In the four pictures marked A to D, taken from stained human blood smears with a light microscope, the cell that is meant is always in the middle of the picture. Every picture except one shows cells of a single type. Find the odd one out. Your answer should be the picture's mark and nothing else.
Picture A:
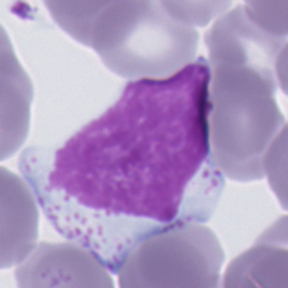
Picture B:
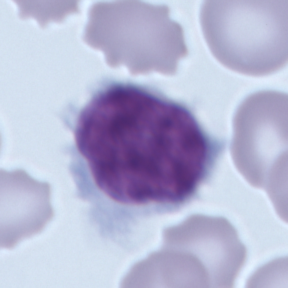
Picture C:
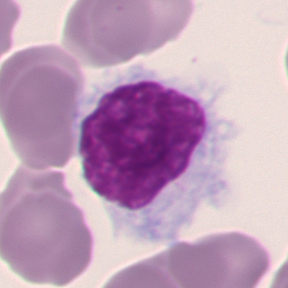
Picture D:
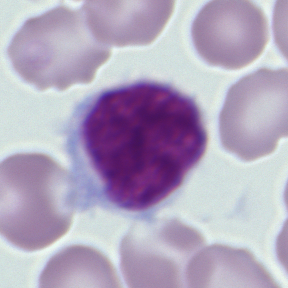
A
